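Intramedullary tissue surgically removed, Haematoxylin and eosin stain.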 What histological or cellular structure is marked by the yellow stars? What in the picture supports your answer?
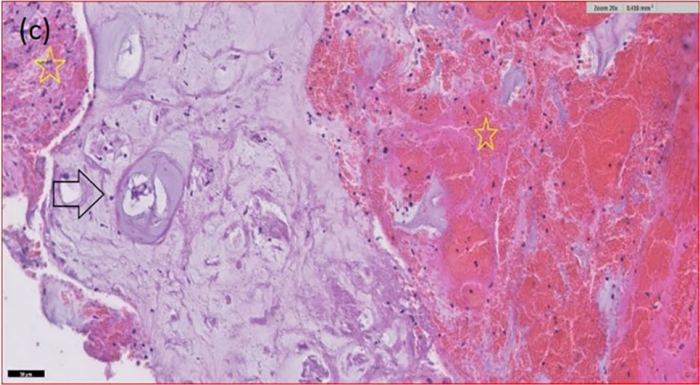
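Fibrinohemorragic material. The starred areas are bright red-pink, amorphous and streaky. Scattered small dark nuclei lie within the red material. No organised tissue architecture is present in the starred areas.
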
